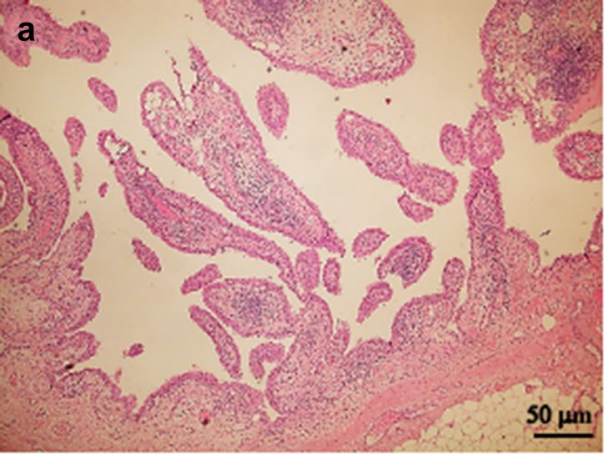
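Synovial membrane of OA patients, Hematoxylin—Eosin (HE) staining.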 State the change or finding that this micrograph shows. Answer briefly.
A: infiltrate of lymphocytes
